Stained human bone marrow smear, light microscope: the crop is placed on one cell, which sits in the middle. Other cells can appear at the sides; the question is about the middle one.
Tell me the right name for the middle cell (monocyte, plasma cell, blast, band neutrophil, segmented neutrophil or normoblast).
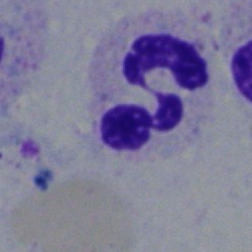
segmented neutrophil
